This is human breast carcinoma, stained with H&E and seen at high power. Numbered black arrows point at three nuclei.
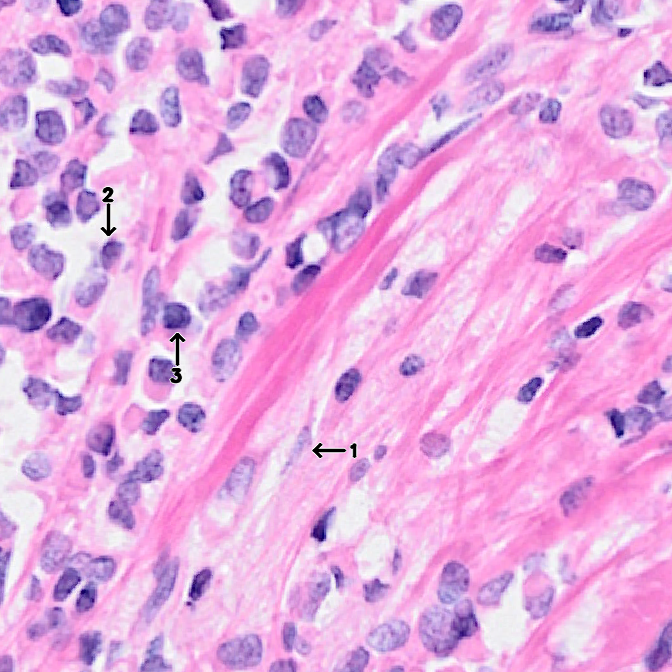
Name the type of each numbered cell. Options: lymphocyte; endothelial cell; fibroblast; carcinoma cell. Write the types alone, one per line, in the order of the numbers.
fibroblast
carcinoma cell
carcinoma cell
